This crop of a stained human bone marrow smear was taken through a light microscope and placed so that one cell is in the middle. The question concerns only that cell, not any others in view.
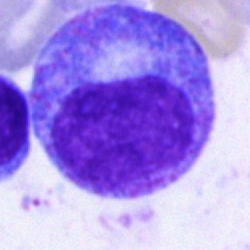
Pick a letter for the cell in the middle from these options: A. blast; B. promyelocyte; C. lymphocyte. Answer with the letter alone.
B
